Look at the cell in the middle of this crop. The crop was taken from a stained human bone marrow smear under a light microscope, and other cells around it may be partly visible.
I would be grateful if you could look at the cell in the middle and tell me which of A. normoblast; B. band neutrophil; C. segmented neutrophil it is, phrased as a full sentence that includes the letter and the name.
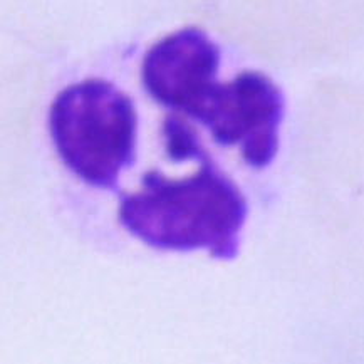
The cell occupying the centre is a segmented neutrophil; option C is thus the correct choice.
